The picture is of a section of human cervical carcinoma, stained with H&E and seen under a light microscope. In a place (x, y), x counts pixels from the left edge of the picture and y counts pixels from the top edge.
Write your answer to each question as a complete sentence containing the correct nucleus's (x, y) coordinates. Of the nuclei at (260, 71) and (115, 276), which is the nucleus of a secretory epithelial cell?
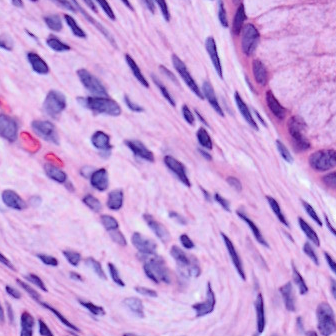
It is the nucleus at (260, 71) that belongs to a secretory epithelial cell.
